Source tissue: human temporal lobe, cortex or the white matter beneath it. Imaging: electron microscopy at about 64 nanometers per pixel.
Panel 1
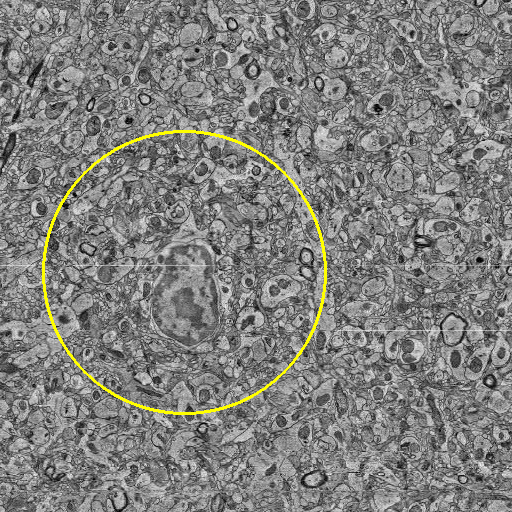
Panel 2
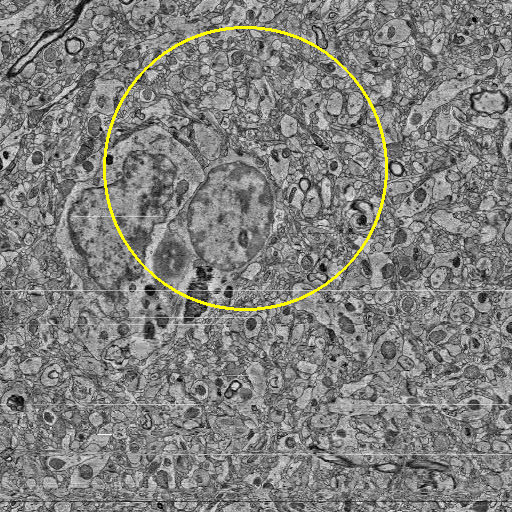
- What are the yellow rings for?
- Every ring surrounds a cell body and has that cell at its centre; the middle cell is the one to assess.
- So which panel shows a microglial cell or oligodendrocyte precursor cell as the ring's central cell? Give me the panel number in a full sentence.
The panel whose ring is centred on the cell in question is panel 1.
